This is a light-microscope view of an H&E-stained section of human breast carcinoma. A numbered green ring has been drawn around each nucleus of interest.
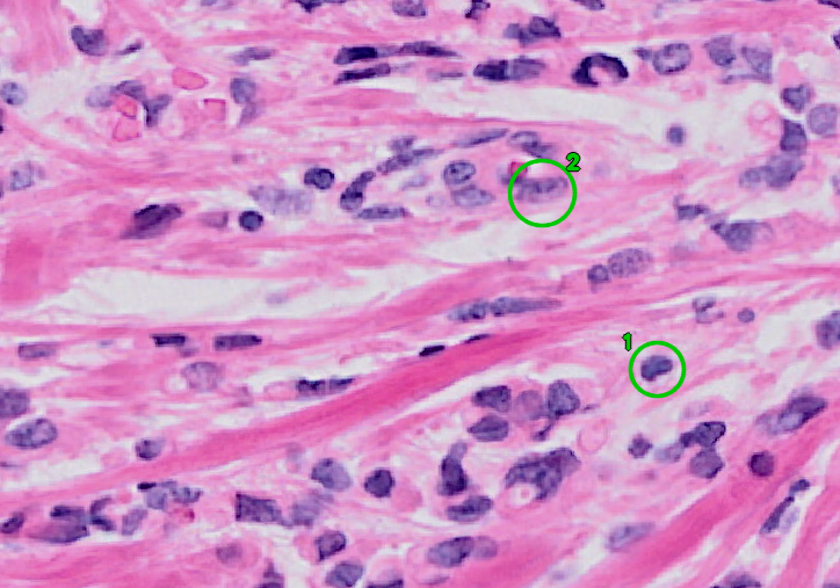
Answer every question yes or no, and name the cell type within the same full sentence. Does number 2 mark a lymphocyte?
No, cell 2 is identified not as a lymphocyte but as an endothelial cell.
